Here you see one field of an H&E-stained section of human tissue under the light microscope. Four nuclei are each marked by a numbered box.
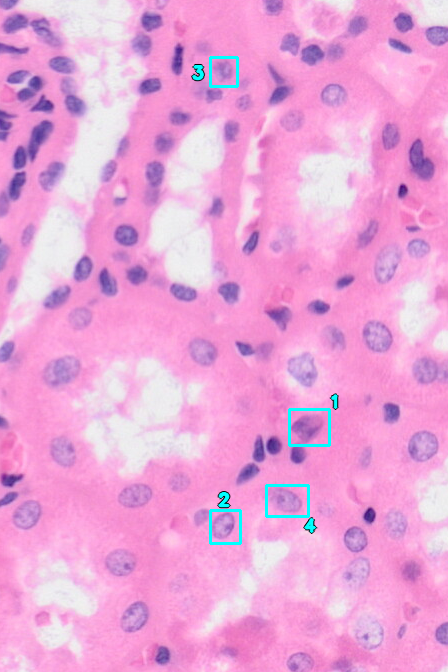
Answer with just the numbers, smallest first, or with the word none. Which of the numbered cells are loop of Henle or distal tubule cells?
3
